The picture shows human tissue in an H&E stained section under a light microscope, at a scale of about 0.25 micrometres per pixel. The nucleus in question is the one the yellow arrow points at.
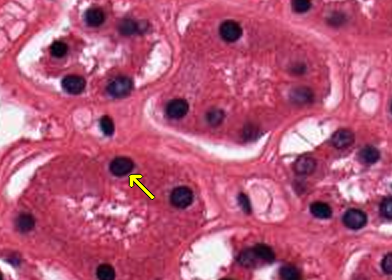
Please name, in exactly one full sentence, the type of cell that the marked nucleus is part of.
Part of a proximal tubule cell is the marked nucleus.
